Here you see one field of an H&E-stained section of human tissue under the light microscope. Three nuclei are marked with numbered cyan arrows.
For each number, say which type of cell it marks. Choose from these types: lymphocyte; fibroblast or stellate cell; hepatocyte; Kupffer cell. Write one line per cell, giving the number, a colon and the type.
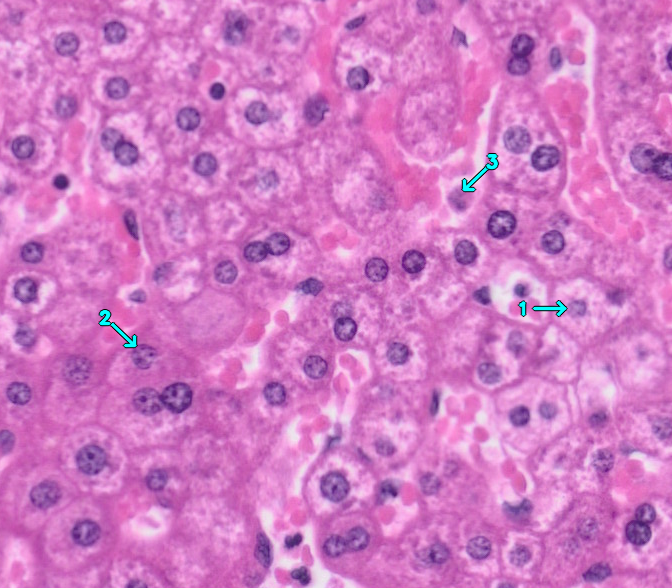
1: hepatocyte
2: hepatocyte
3: Kupffer cell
